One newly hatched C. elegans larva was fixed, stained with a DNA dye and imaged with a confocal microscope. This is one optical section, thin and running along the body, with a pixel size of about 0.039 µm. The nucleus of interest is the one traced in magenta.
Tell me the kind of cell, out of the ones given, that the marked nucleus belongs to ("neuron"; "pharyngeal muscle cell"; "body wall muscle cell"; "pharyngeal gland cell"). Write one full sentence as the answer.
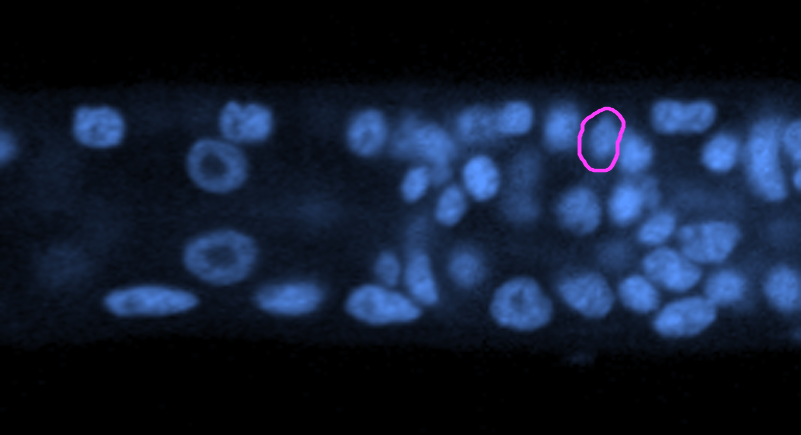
It belongs to a neuron.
